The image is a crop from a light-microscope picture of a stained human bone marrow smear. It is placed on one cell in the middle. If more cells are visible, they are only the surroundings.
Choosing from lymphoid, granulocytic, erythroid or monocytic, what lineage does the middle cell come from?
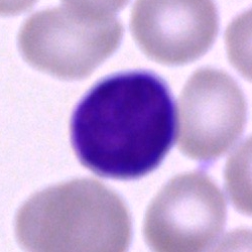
lymphoid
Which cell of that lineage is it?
lymphocyte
